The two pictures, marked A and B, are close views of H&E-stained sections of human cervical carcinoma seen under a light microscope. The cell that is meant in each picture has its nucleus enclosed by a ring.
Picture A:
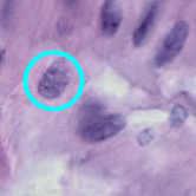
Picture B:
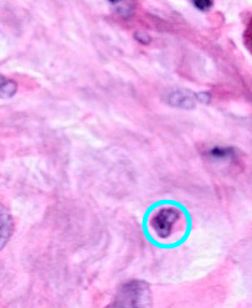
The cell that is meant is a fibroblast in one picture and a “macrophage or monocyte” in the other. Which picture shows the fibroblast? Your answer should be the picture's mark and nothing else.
A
